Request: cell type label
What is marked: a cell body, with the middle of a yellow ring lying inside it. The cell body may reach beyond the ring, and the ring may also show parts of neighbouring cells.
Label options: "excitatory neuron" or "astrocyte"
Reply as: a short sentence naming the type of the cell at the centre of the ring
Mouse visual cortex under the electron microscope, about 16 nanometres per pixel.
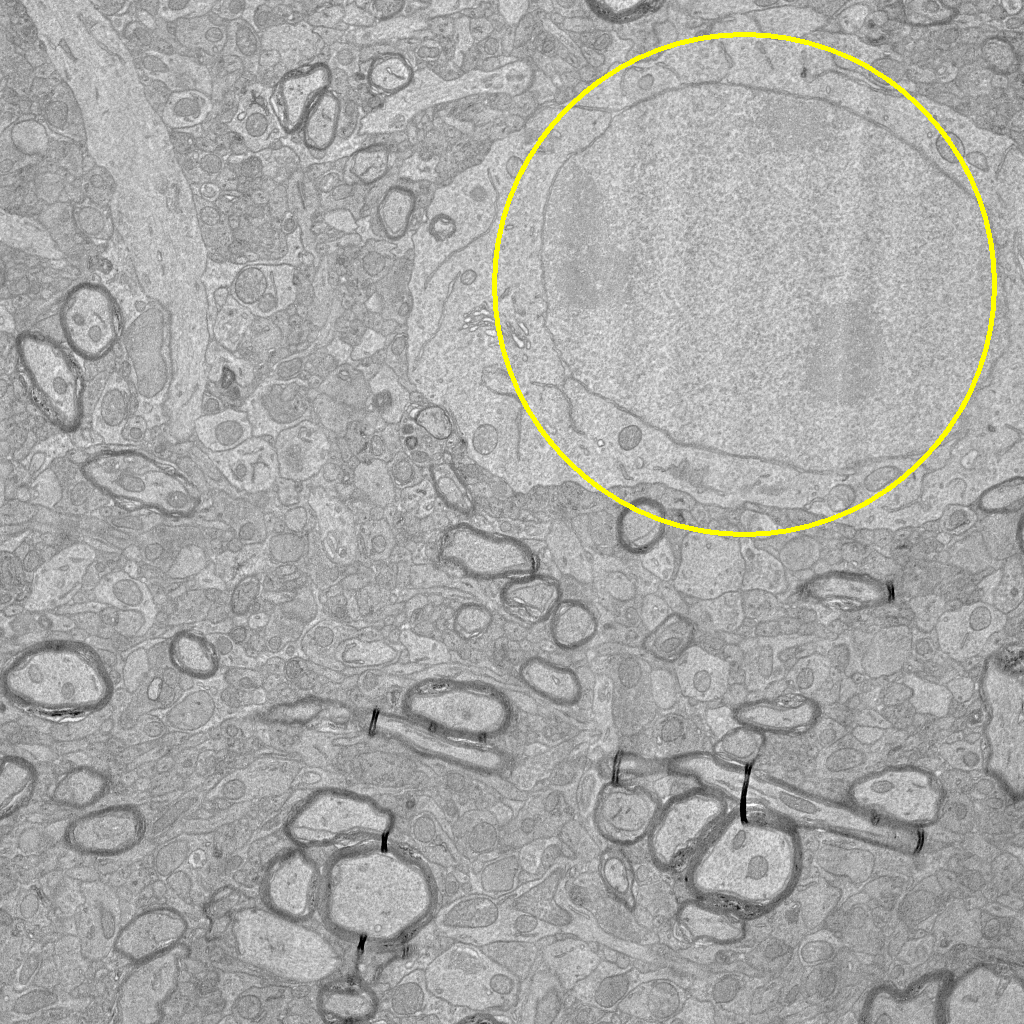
The marked cell body is that of an excitatory neuron.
